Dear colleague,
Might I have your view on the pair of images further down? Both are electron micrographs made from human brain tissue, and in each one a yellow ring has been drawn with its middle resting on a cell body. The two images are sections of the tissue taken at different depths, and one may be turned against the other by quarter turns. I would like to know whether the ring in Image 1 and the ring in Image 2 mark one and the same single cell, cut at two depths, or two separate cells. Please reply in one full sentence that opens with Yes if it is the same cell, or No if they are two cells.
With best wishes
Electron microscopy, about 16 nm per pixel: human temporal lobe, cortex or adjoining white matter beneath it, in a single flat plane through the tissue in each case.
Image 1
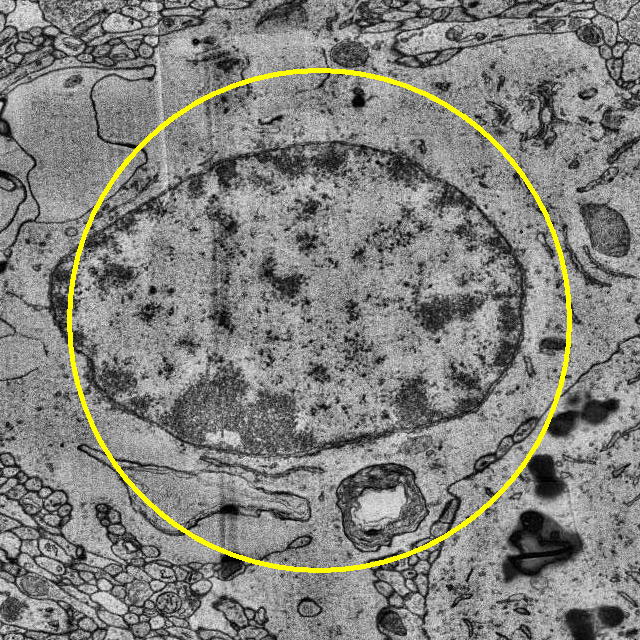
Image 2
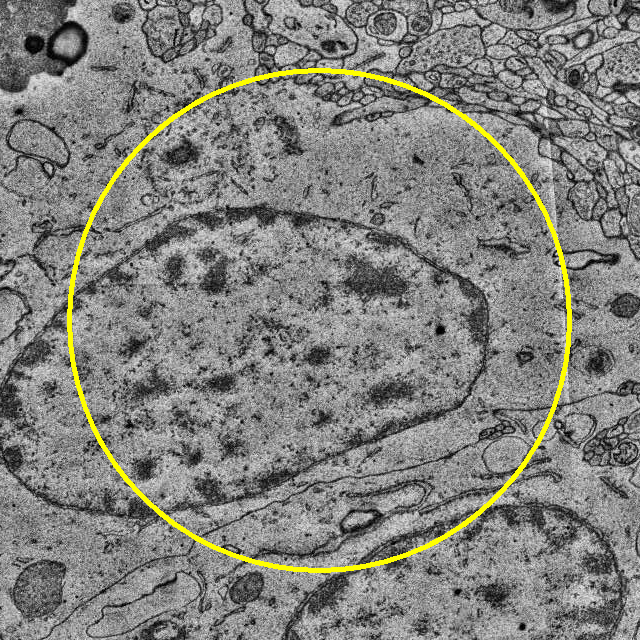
No, the two rings indicate two different cells, not one.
